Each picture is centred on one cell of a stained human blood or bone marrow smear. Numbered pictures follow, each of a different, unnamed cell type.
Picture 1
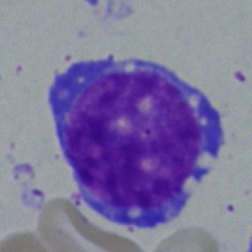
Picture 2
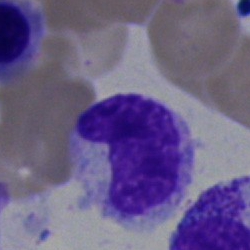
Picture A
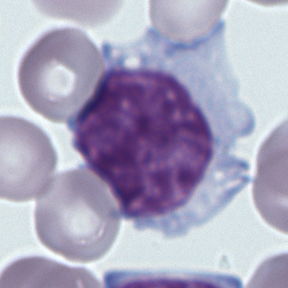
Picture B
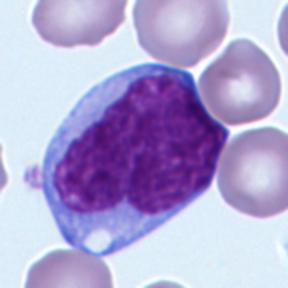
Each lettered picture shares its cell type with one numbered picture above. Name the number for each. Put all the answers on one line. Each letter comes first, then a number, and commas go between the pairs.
A 1, B 1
